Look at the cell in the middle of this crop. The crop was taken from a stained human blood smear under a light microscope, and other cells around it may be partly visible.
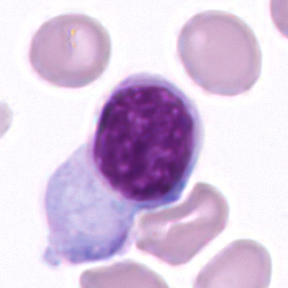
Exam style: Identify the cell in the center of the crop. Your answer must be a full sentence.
In this smear crop, the middle cell is a plasma cell.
